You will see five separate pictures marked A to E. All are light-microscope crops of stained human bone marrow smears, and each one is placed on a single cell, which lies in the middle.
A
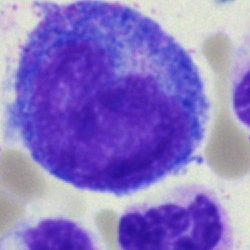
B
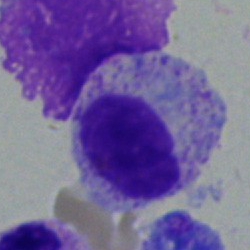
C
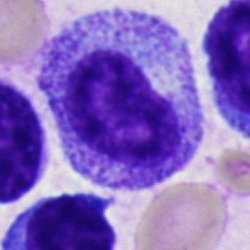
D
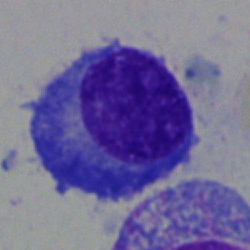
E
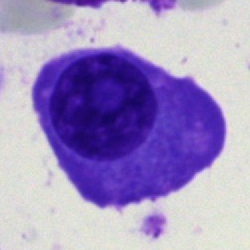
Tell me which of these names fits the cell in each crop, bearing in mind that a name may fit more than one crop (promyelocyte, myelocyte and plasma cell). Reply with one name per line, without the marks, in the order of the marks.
promyelocyte
myelocyte
myelocyte
plasma cell
plasma cell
